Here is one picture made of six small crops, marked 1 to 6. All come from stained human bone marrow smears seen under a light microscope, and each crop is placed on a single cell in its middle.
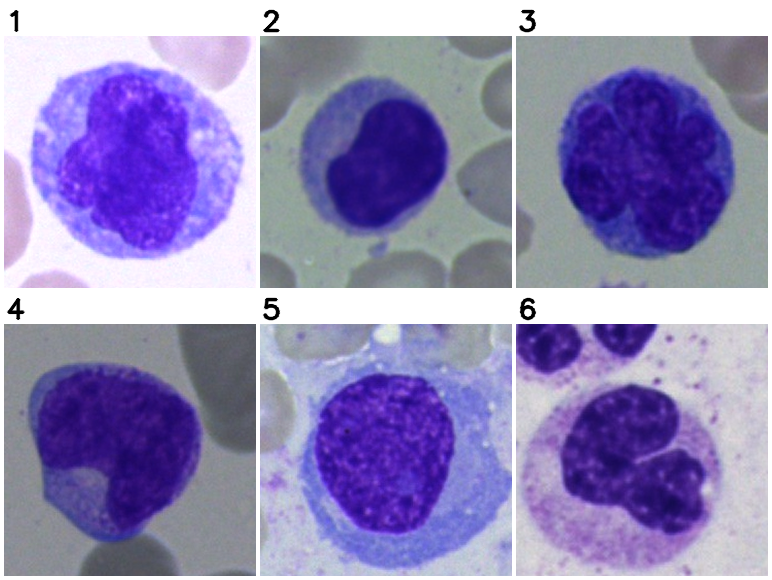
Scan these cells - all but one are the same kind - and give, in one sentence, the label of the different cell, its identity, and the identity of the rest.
For this set, crop 6 is a band neutrophil, and all the rest are monocytes.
